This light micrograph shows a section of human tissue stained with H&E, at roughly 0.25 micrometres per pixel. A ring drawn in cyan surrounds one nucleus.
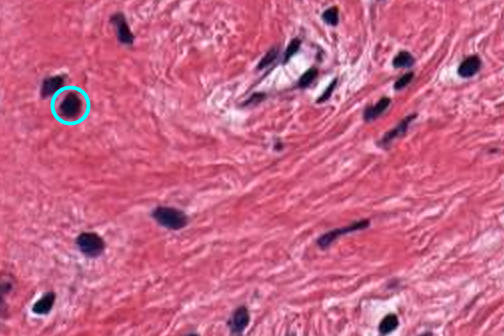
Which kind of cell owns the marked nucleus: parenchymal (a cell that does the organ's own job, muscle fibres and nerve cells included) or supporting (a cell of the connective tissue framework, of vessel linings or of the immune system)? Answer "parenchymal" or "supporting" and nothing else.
supporting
